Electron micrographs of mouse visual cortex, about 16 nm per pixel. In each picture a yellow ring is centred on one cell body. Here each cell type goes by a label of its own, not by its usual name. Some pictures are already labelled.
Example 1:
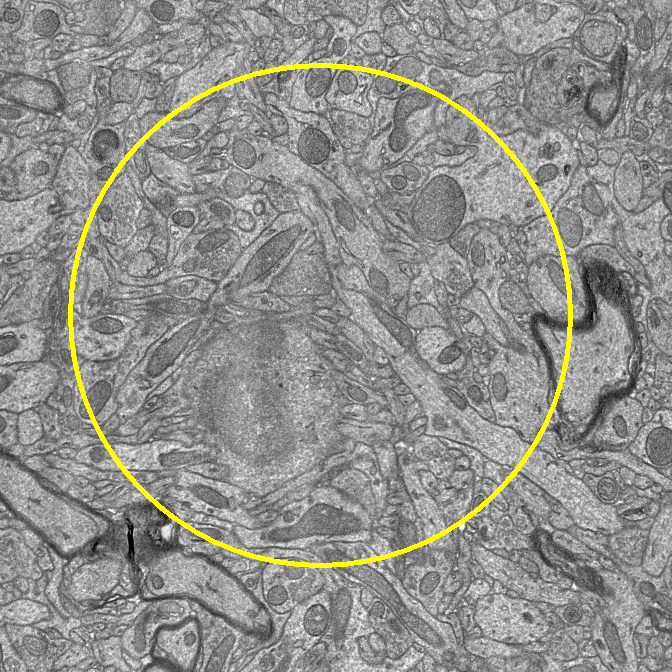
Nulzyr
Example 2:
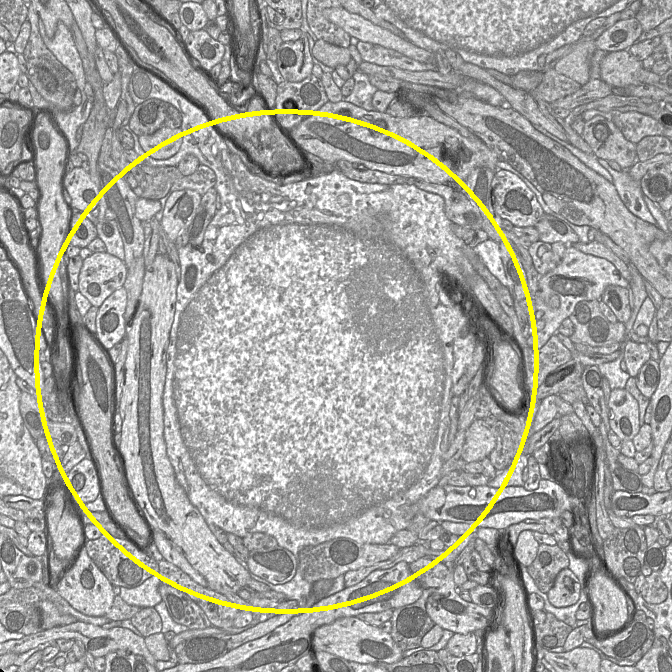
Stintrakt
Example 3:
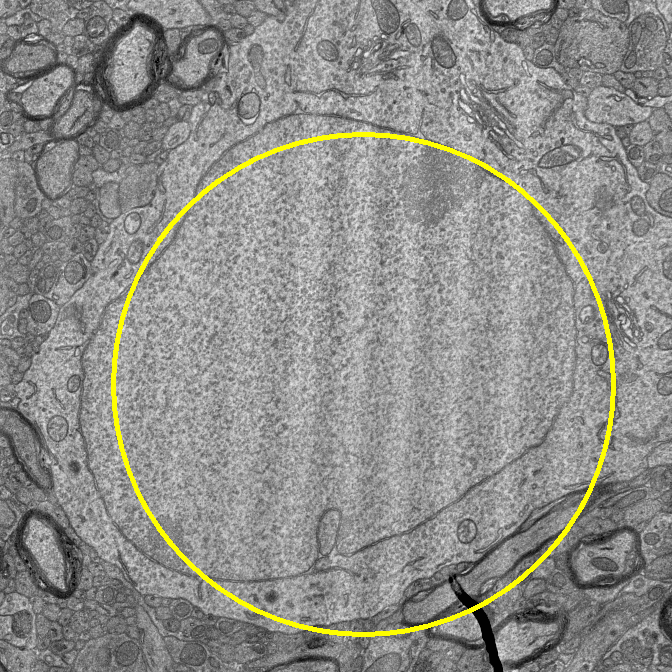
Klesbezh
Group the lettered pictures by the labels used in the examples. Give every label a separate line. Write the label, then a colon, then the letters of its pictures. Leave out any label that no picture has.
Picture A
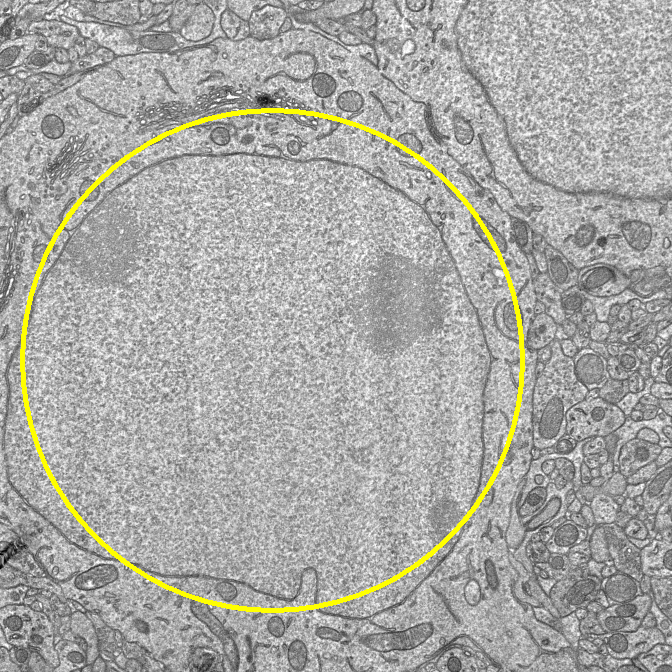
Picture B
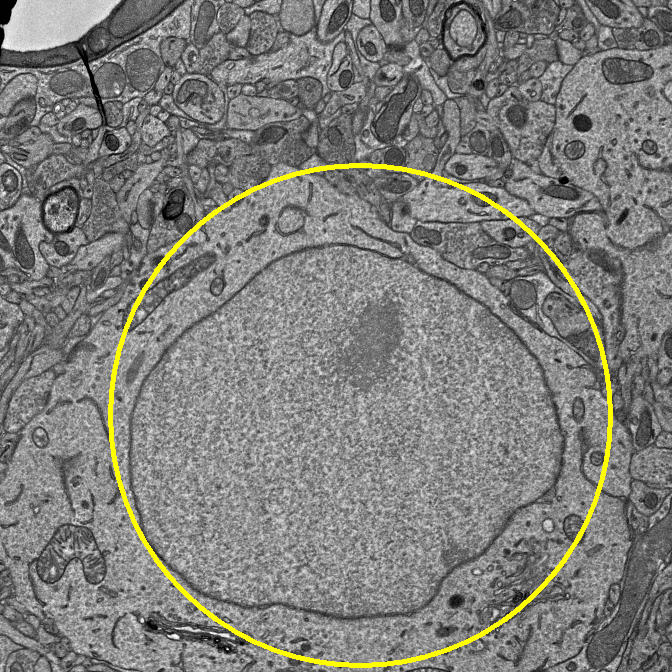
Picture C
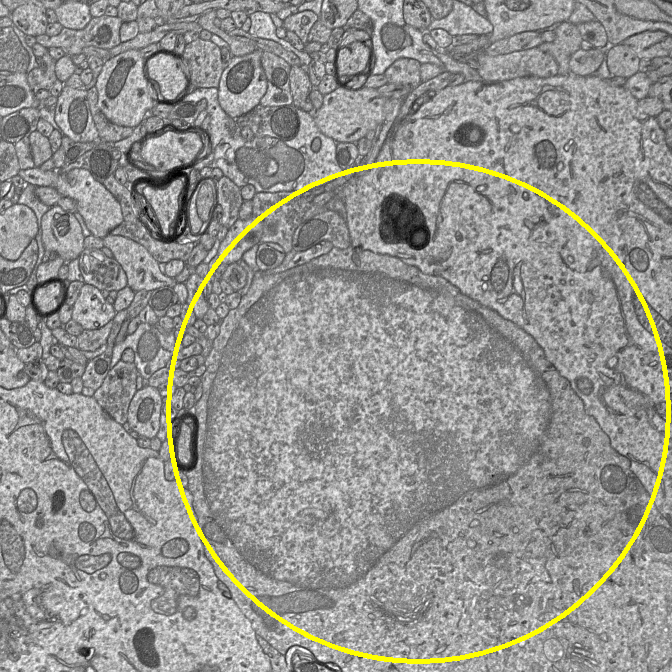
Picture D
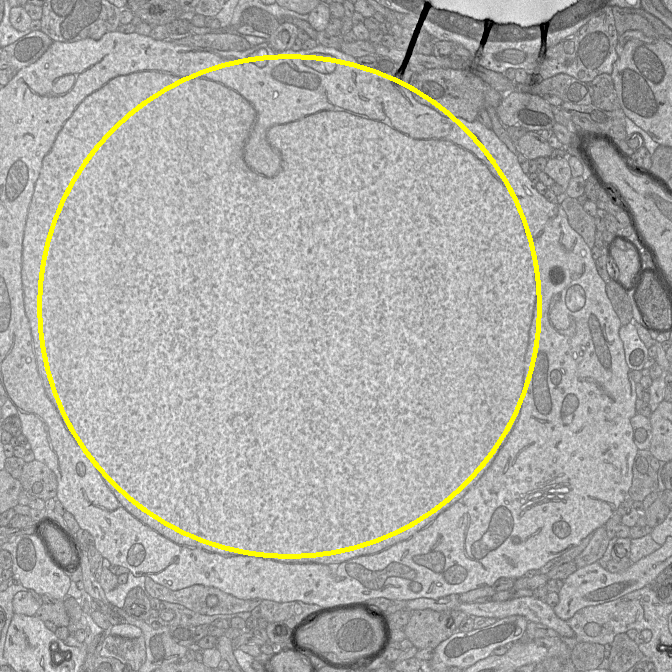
Nulzyr: C
Klesbezh: A, B, D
